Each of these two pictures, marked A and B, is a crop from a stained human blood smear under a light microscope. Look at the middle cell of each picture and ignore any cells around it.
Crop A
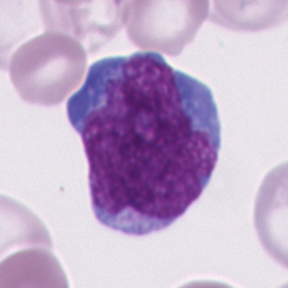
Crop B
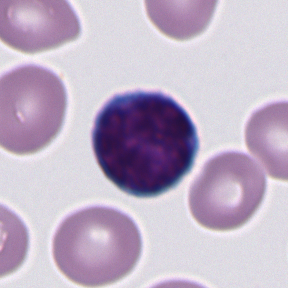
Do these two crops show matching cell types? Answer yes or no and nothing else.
no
